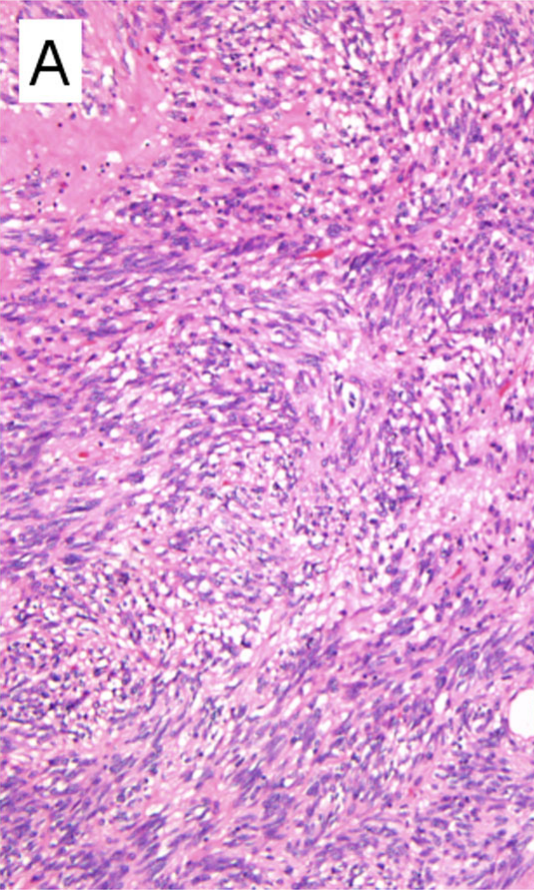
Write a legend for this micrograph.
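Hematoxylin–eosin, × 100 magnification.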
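This is a densely cellular growth of neoplastic cells, mostly spindle-shaped, packed into sweeping, interlacing fascicles. The nuclei are elongated and dark purple, and they crowd the field with very little stroma between them. Many cells have pale, vacuolated-looking pink cytoplasm, which gives some areas a bubbly, clear appearance. Nuclear size and shape vary from cell to cell.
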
